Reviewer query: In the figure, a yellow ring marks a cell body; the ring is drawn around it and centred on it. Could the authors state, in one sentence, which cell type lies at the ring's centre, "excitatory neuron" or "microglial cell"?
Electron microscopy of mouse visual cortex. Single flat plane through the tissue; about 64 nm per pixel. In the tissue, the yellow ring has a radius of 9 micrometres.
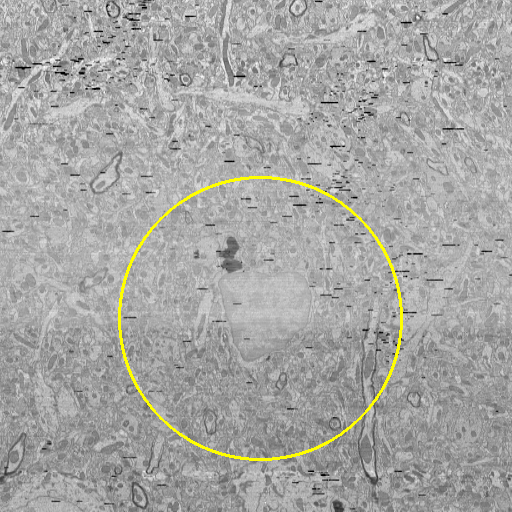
The ring is centred on a microglial cell.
